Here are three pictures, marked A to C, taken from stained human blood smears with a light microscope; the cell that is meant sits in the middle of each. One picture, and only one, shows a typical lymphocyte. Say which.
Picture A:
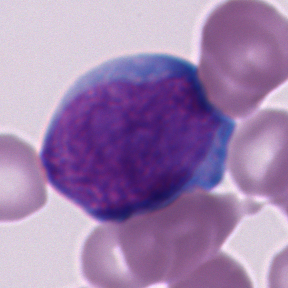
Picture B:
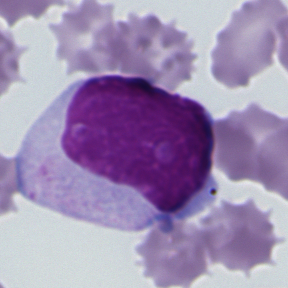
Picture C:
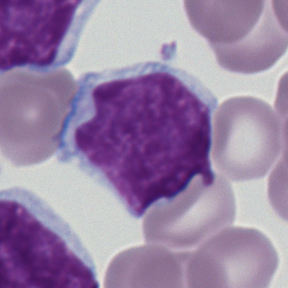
C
